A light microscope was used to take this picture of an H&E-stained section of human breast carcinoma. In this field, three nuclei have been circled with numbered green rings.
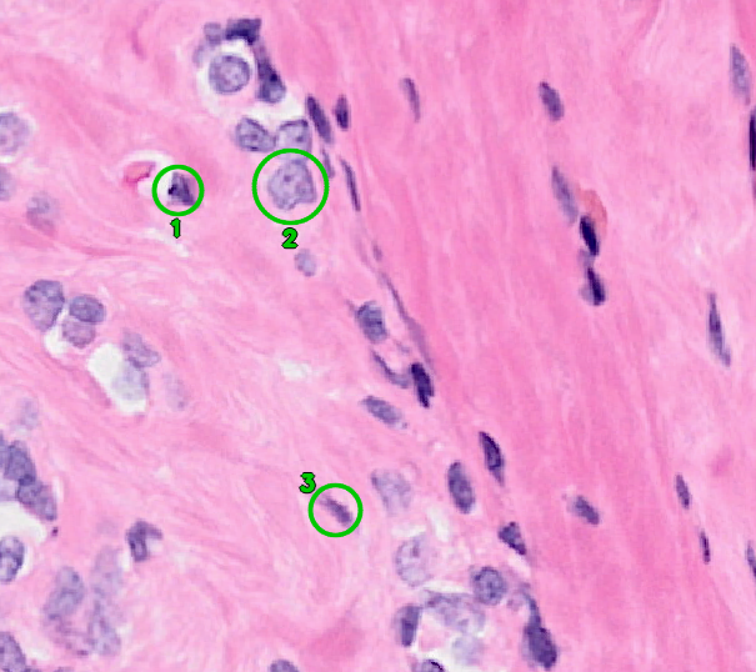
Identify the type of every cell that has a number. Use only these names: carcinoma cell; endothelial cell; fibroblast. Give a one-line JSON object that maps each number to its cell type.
{"1": "endothelial cell", "2": "carcinoma cell", "3": "fibroblast"}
